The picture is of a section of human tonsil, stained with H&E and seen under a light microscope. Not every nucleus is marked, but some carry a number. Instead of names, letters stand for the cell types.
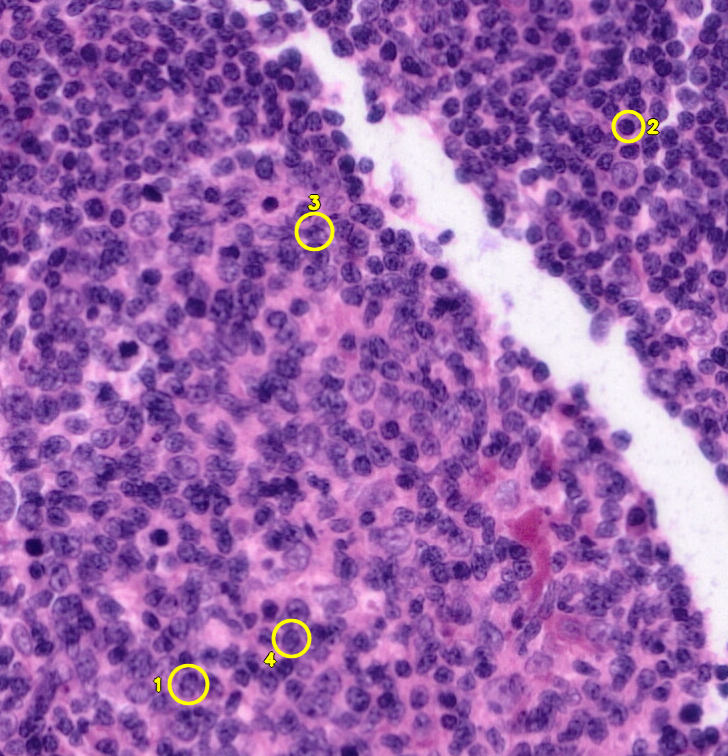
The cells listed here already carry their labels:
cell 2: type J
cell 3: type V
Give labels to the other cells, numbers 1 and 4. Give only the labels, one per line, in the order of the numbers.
type V
type V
